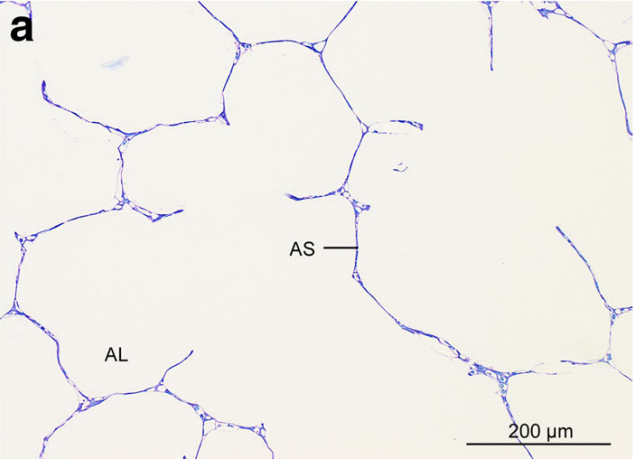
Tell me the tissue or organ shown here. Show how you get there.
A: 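Large, empty, rounded air spaces fill most of the field. The spaces are separated by thin blue-stained walls. The walls meet and branch at small thickened junctions. The answer: lung parenchyma.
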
